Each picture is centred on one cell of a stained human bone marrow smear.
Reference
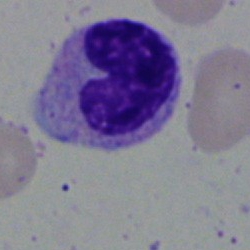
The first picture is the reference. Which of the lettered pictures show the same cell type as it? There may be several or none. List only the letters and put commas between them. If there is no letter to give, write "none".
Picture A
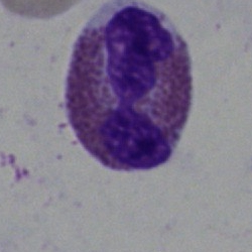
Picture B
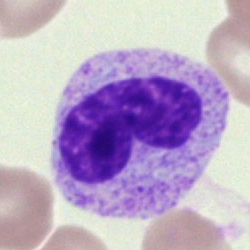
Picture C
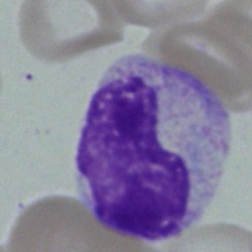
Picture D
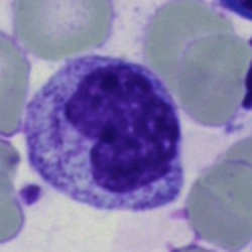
B, C, D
